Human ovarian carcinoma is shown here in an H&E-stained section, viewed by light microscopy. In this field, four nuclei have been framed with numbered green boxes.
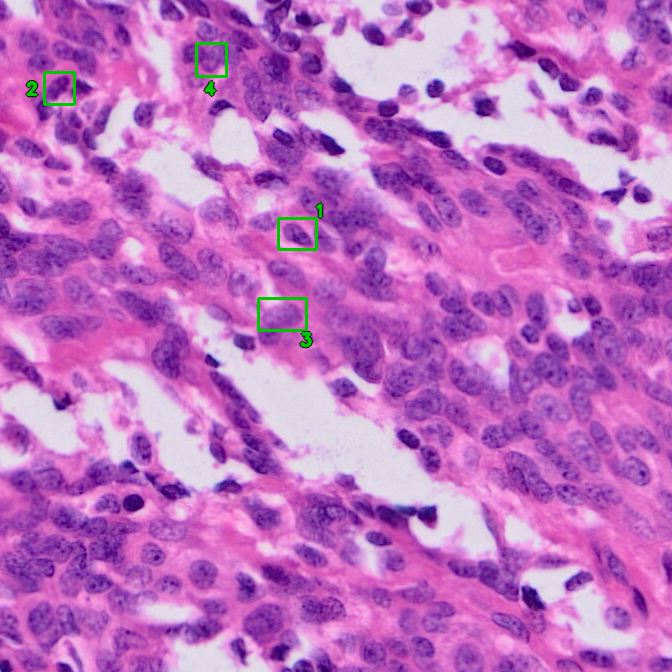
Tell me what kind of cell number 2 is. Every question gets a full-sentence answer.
Among the marked cells, number 2 is a carcinoma cell.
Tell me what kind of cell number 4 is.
Here the cell numbered 4 is a carcinoma cell.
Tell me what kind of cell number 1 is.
In this section, the cell tagged 1 is a macrophage or monocyte.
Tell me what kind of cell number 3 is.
In the marked set, the cell given number 3 is a carcinoma cell.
